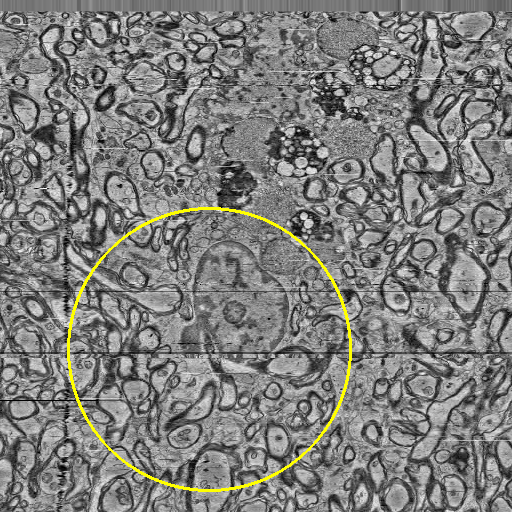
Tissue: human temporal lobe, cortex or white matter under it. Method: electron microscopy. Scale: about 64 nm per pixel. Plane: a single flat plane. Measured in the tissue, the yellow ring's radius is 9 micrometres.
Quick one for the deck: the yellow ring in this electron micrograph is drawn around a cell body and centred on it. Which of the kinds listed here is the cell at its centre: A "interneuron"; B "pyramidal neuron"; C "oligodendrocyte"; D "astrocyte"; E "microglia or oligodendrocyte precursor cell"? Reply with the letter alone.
E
